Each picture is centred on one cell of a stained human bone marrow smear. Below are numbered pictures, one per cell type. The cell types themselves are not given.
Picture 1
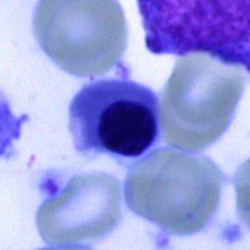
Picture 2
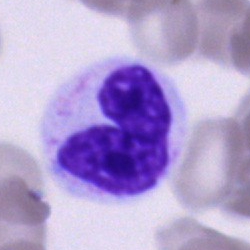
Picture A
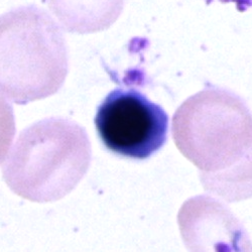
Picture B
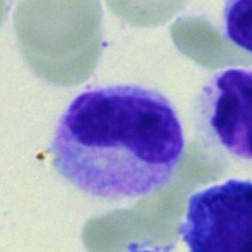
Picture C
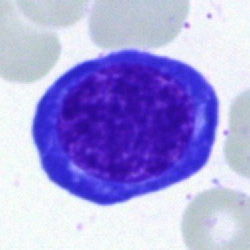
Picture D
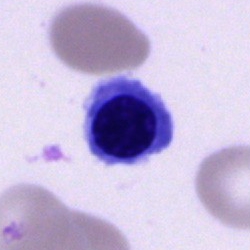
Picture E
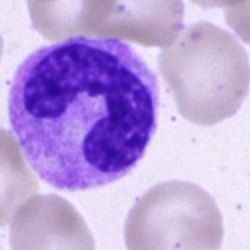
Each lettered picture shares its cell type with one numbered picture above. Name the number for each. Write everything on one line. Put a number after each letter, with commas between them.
A 1, B 2, C 1, D 1, E 2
